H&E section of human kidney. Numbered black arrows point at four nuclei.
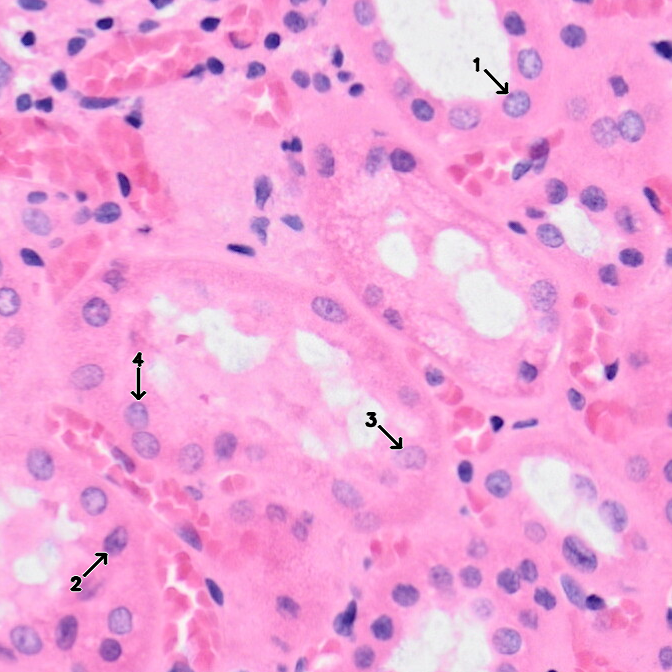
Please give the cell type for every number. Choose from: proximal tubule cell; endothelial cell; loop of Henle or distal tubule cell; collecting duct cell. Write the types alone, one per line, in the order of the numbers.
loop of Henle or distal tubule cell
proximal tubule cell
proximal tubule cell
proximal tubule cell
